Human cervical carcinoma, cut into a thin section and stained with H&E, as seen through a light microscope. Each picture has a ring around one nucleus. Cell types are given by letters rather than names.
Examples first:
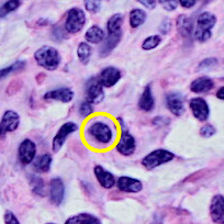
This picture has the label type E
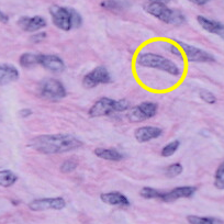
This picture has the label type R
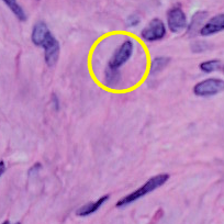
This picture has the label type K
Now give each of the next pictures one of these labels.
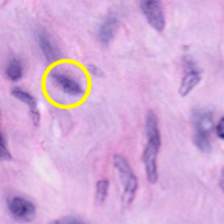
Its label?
type K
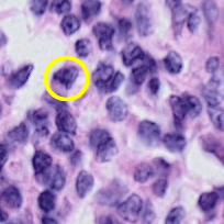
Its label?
type E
